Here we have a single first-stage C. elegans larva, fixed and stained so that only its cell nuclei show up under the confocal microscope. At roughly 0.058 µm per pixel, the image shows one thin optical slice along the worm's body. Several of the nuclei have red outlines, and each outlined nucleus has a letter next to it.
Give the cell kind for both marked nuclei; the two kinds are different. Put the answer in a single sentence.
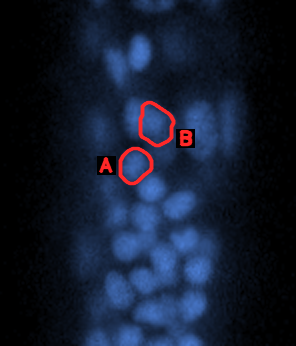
B belongs to a pharyngeal muscle cell, and A to a neuron.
